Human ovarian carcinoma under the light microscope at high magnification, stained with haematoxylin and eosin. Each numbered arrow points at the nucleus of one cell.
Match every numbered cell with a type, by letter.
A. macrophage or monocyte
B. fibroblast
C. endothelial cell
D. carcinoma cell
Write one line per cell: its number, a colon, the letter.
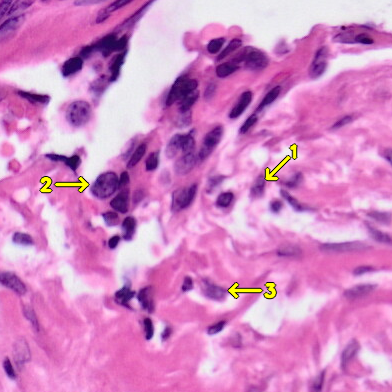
1: B
2: D
3: B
